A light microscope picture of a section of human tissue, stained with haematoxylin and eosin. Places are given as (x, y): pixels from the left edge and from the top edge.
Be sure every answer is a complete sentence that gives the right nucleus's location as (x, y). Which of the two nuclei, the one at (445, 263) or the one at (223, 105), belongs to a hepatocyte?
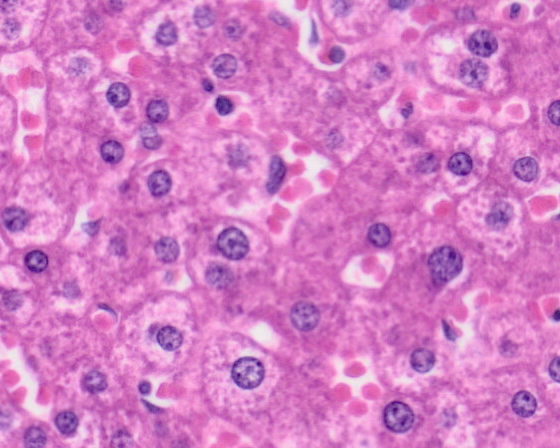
The nucleus at (445, 263), rather than the other, belongs to a hepatocyte.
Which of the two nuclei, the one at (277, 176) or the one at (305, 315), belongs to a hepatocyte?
So, of the two, the nucleus at (305, 315) is the one belonging to a hepatocyte.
